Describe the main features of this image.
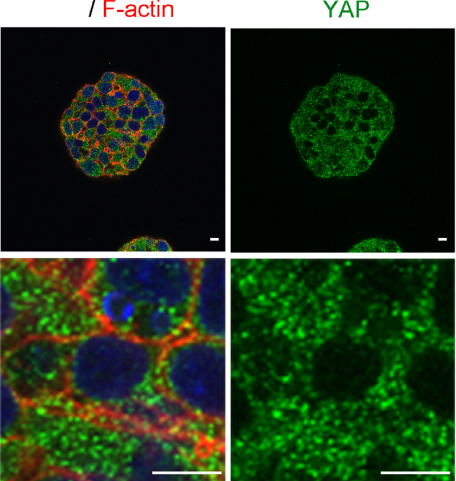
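A compact, rounded aggregate of tightly packed cells is seen in an overview and in a magnified view of a few of its cells. Thin red lines outline each cell along its borders, so that the cells fit together like a mosaic around round to oval blue nuclei. A granular green signal fills the cytoplasm between the nuclei and the red borders. Over the nuclei the green dots are sparse, so that the nuclei show as darker holes in the green-only images.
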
